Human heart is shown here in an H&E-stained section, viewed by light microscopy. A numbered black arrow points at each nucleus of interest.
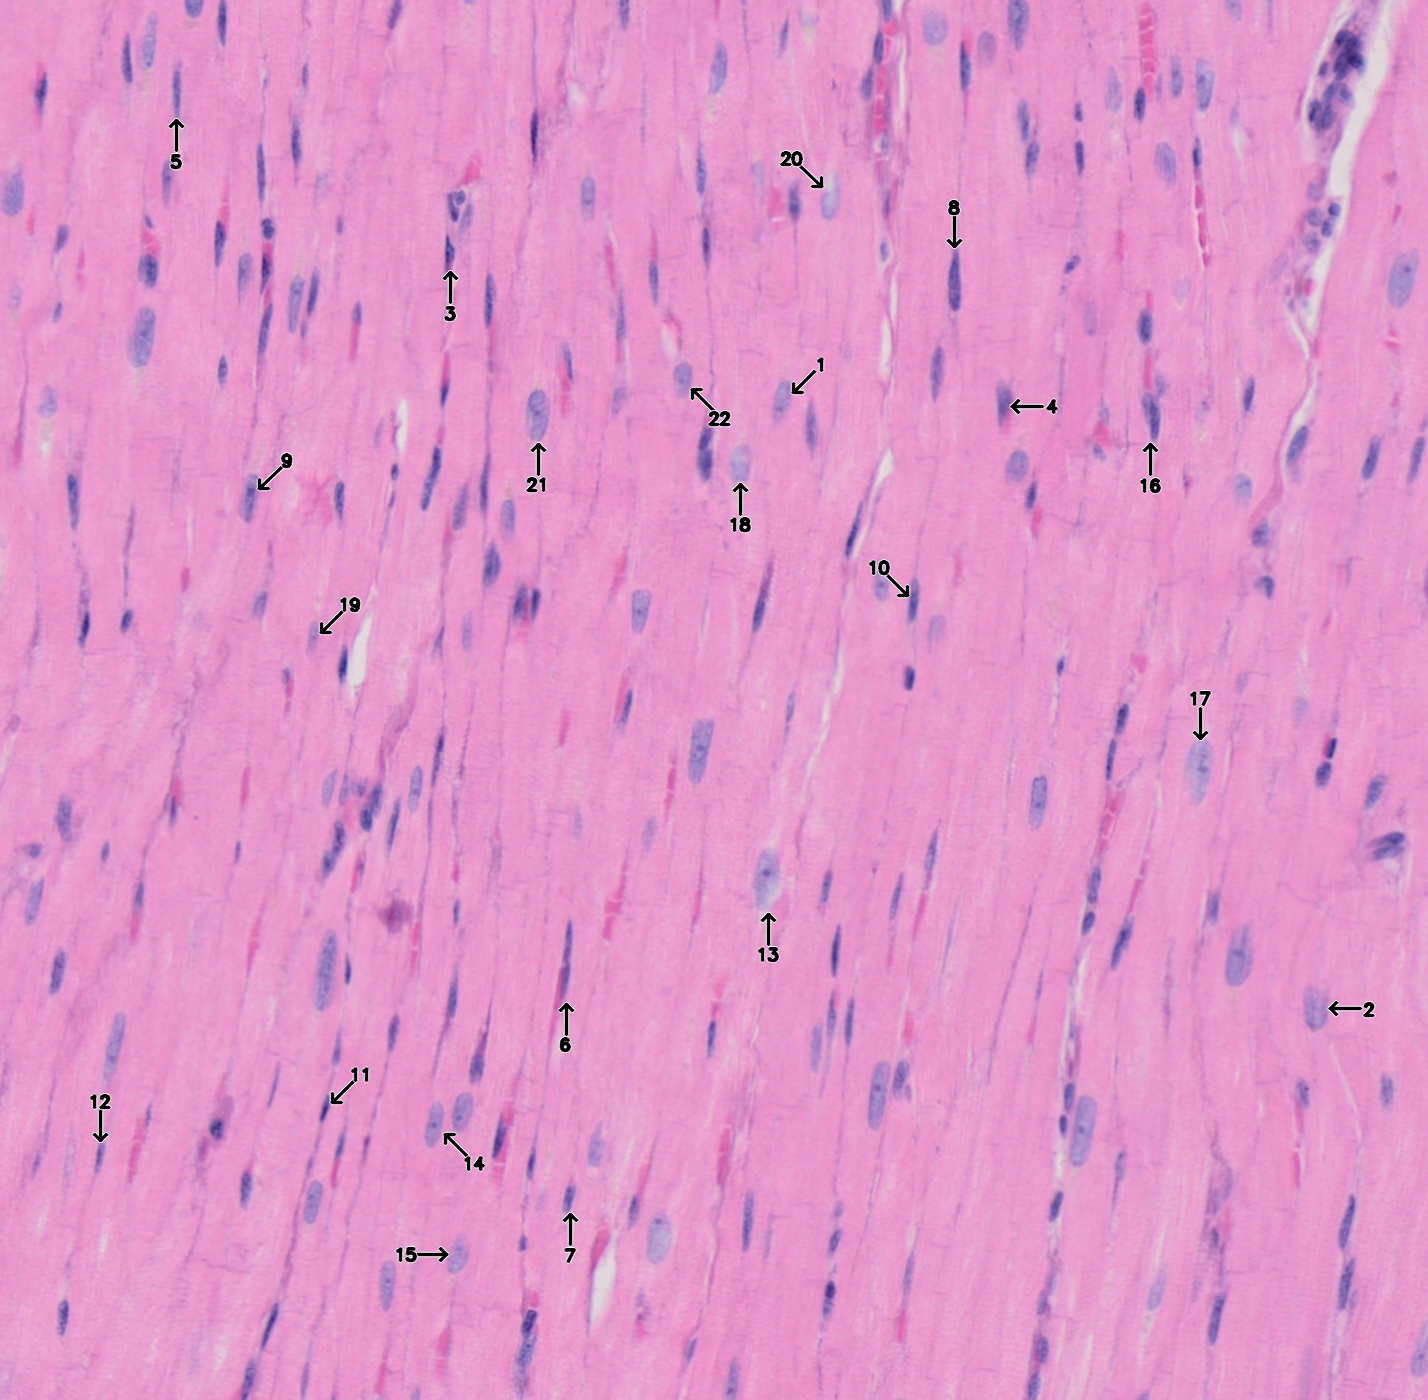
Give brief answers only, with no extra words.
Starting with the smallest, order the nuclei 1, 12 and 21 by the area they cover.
12, 1, 21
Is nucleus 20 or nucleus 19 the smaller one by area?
19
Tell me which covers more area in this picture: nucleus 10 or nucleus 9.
9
